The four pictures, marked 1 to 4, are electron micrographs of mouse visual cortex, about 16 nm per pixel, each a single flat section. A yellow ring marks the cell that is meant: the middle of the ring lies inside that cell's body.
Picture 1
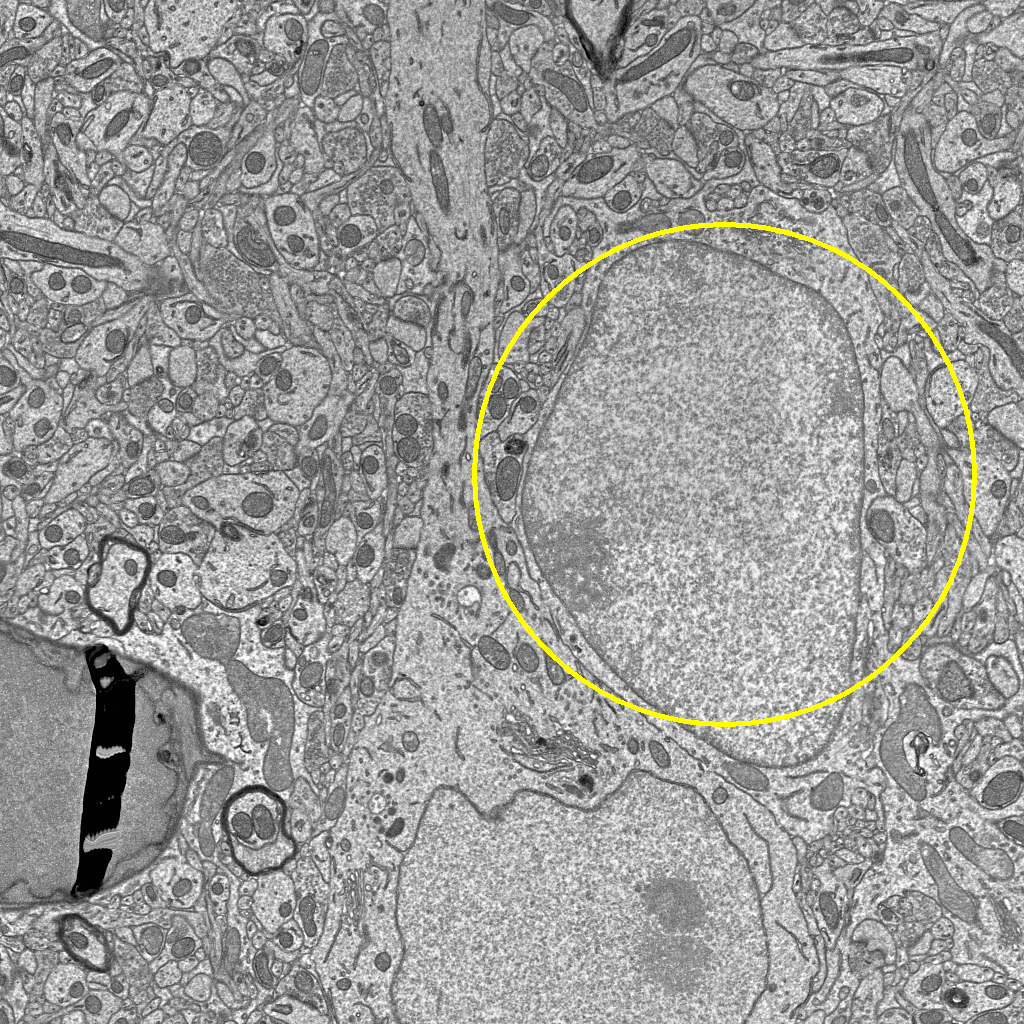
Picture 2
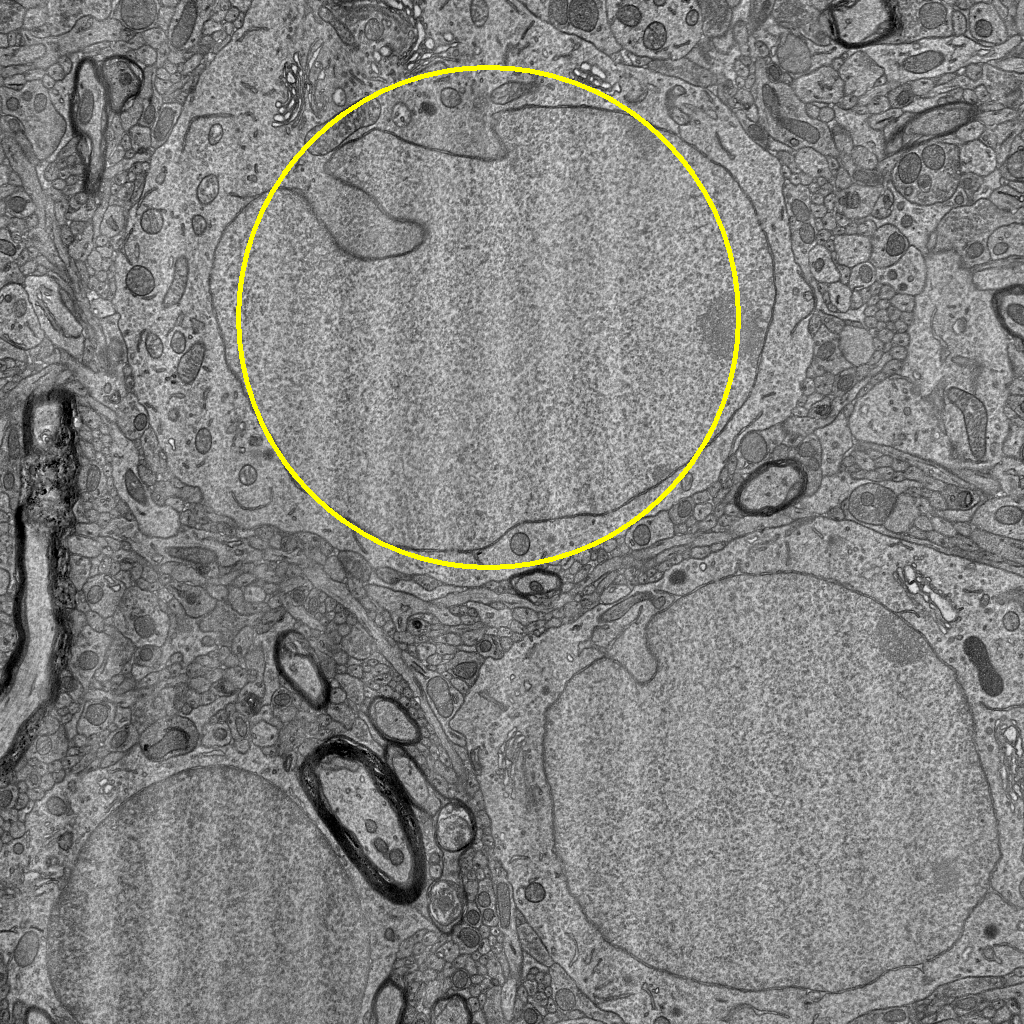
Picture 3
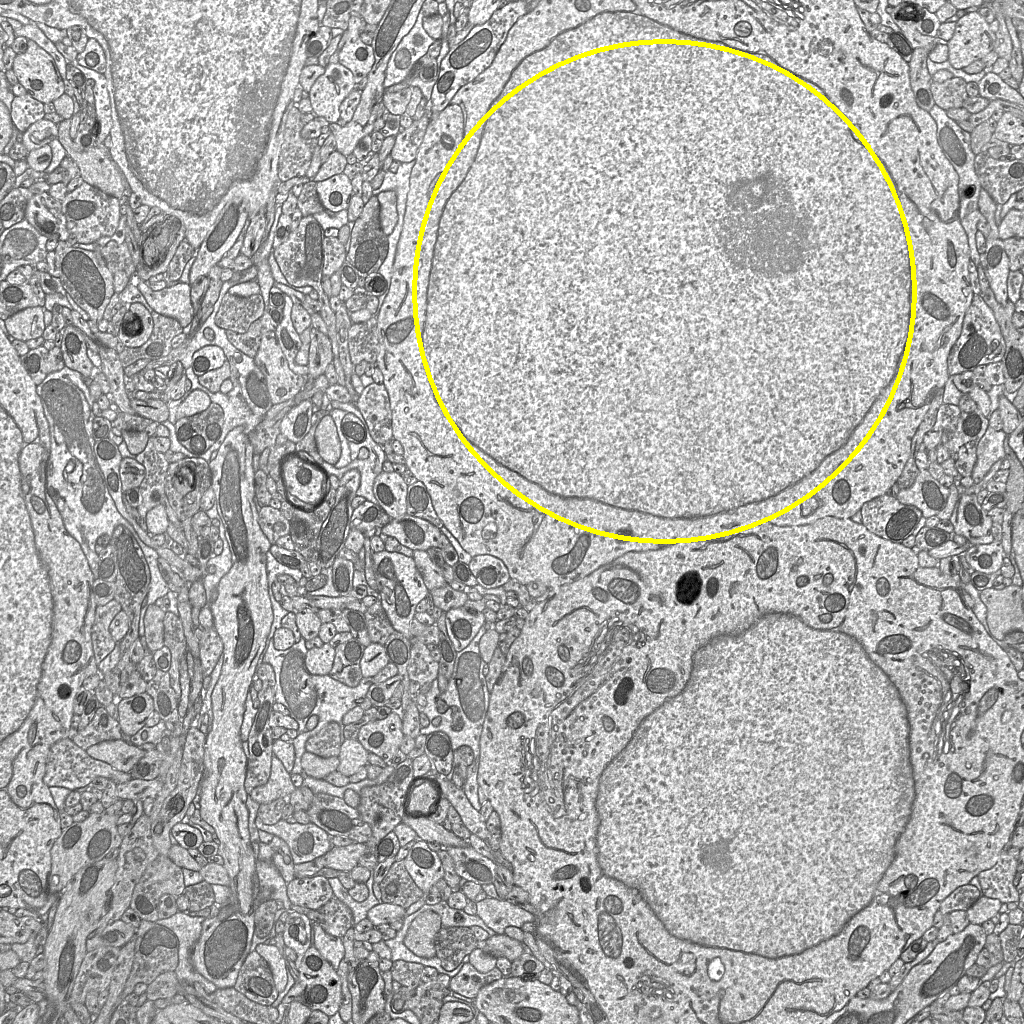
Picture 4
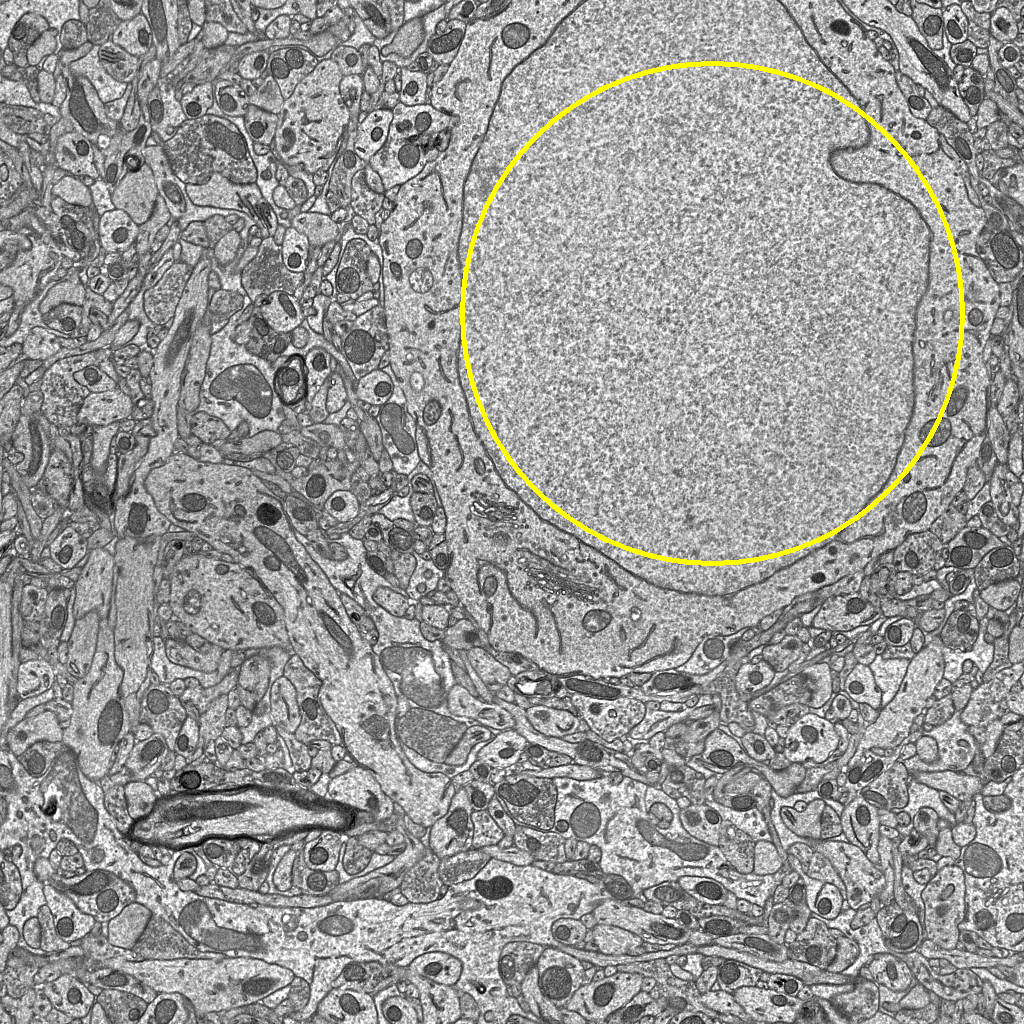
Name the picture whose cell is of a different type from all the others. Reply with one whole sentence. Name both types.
Unlike the rest, which show excitatory neurons, picture 1 shows an astrocyte.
